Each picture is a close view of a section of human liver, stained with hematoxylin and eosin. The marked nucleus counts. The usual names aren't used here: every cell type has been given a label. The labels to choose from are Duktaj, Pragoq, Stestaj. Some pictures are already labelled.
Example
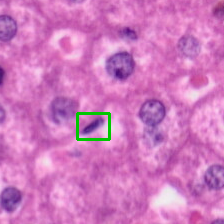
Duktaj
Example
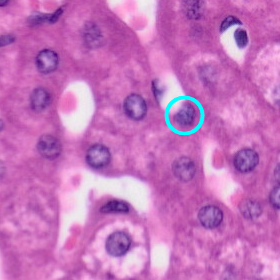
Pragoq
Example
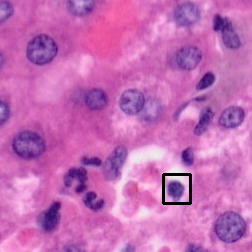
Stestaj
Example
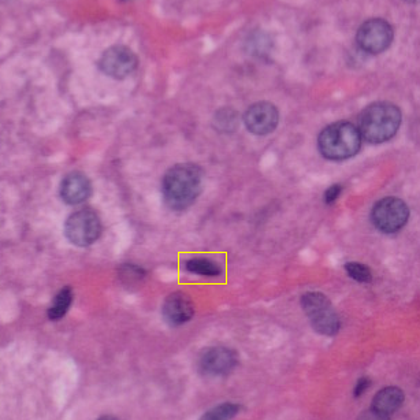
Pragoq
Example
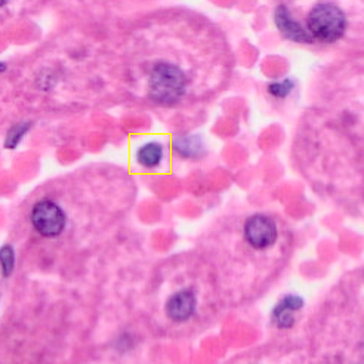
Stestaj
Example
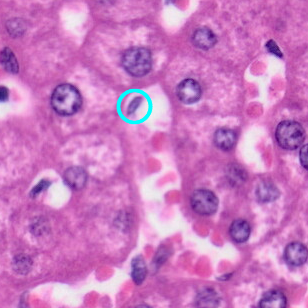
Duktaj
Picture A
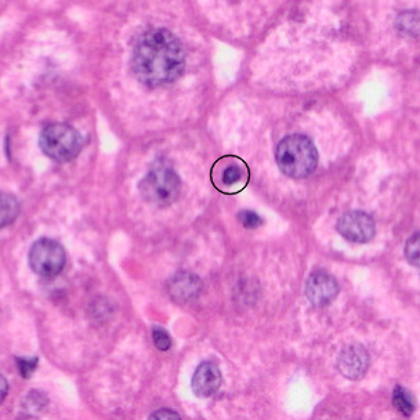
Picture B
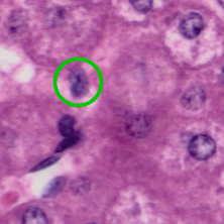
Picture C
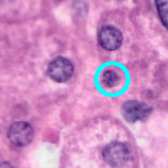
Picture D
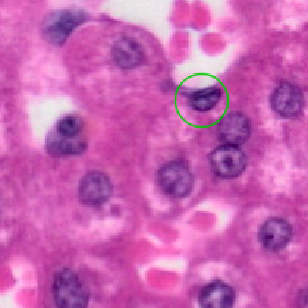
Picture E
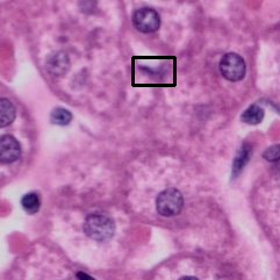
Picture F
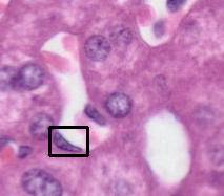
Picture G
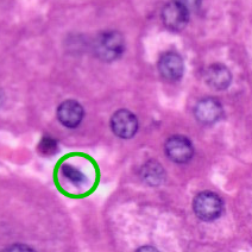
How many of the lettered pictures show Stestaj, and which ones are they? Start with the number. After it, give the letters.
Count: 2 (C, G)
